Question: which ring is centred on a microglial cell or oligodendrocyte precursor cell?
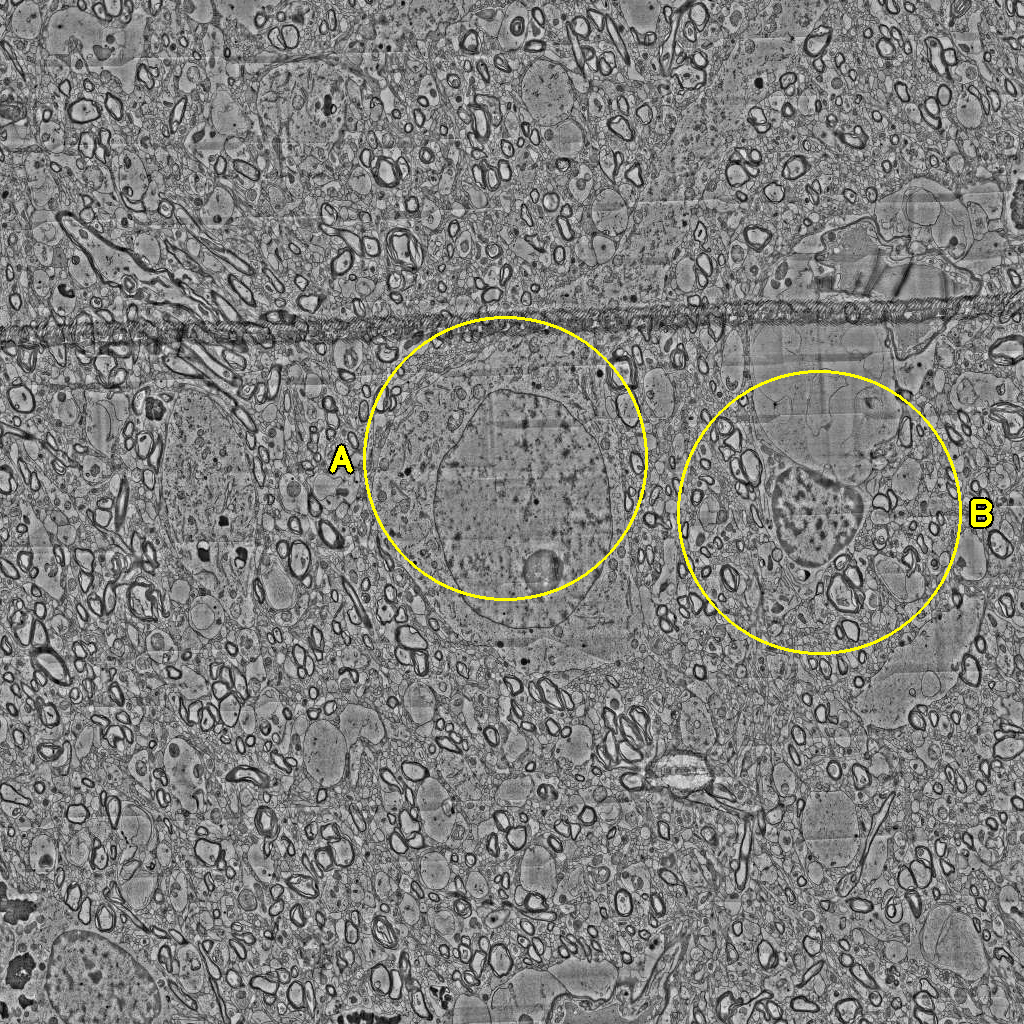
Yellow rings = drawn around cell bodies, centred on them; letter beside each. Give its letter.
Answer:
B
